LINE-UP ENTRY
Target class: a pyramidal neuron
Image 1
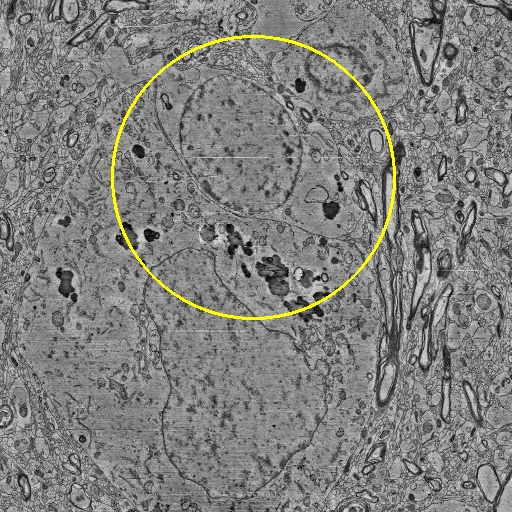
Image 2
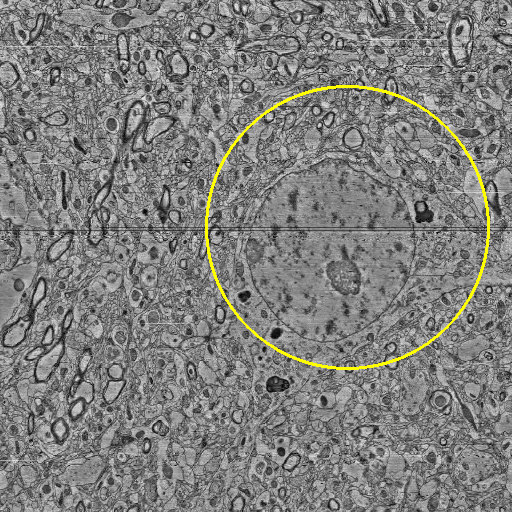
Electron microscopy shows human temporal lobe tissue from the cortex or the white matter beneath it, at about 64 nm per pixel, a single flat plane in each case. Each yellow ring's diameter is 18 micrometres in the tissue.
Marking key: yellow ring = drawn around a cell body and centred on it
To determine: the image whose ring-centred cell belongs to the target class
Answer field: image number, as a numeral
2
